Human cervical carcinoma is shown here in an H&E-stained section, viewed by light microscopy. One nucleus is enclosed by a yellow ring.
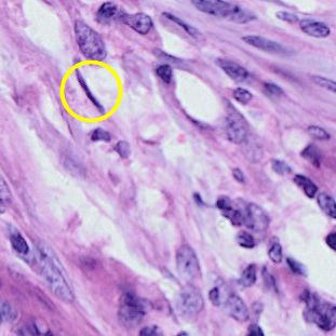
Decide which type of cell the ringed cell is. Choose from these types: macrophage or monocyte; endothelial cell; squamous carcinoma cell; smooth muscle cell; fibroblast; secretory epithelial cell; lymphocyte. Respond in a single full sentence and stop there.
The identity of the ringed cell: it is a fibroblast.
